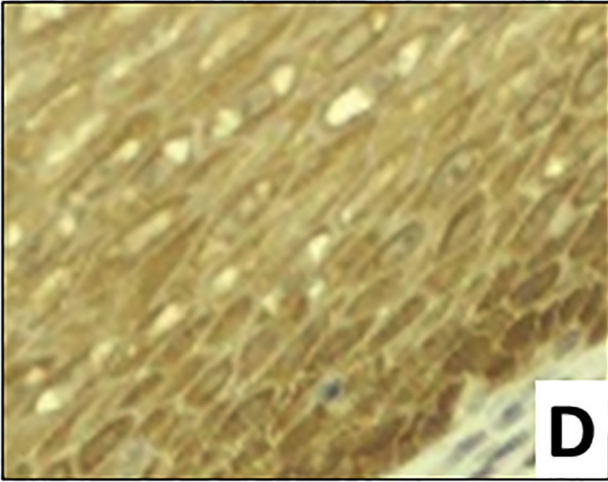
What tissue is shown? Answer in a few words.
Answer: Squamous epithelium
